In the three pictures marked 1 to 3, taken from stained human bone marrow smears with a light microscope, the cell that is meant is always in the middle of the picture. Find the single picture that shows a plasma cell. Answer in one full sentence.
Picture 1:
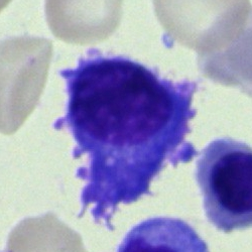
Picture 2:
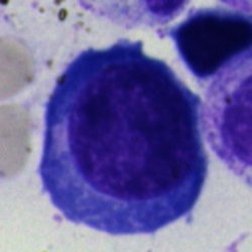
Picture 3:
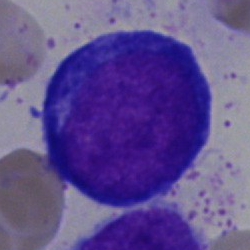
Picture 1 shows the plasma cell.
